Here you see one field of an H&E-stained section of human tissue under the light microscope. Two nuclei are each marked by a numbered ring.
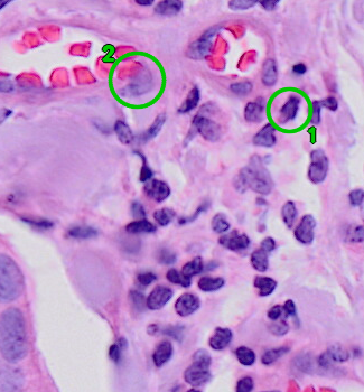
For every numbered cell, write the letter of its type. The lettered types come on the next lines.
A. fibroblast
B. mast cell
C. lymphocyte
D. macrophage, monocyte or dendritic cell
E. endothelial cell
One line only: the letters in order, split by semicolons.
C; E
